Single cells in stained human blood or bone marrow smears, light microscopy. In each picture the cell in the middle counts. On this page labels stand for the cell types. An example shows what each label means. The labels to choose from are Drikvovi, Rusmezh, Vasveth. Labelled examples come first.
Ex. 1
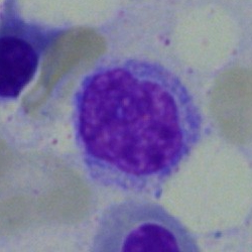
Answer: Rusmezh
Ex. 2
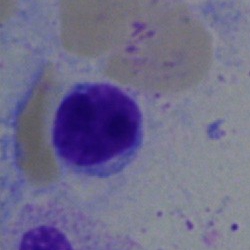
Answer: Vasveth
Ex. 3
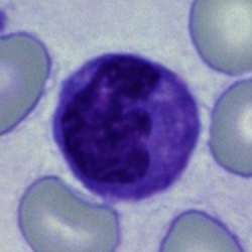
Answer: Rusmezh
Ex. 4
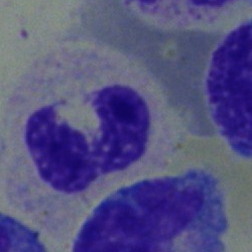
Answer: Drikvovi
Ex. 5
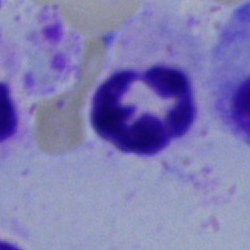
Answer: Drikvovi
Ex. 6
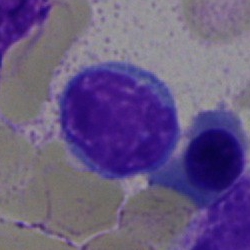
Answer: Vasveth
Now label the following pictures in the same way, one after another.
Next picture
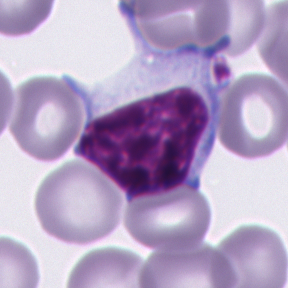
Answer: Vasveth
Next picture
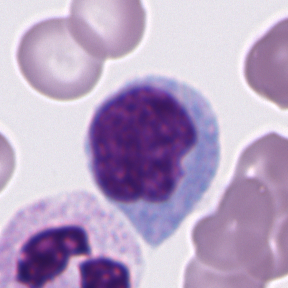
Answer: Rusmezh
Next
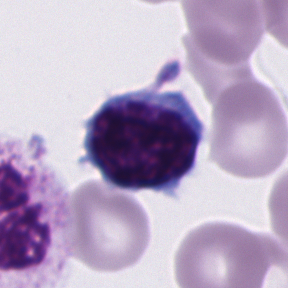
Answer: Vasveth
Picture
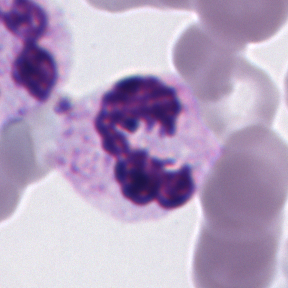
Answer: Drikvovi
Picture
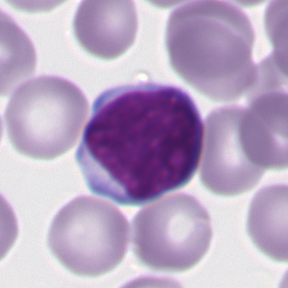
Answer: Vasveth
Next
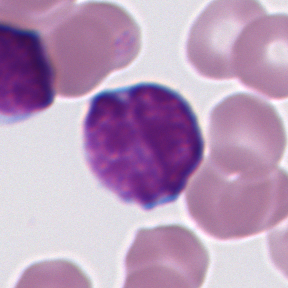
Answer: Vasveth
